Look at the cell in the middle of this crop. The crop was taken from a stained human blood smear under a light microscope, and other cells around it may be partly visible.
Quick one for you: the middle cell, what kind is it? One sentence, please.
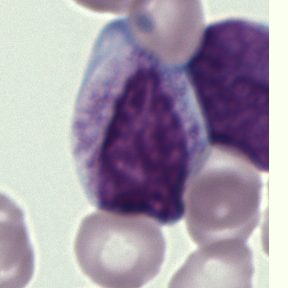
In this crop, the cell at the very middle is a myelocyte.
